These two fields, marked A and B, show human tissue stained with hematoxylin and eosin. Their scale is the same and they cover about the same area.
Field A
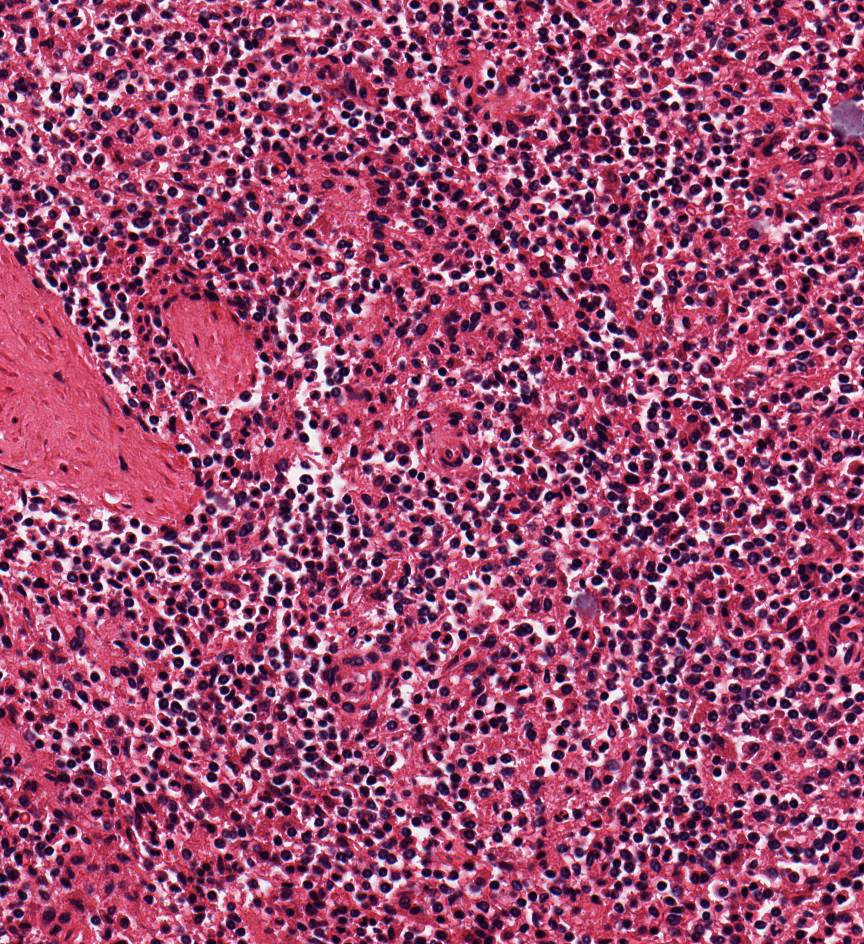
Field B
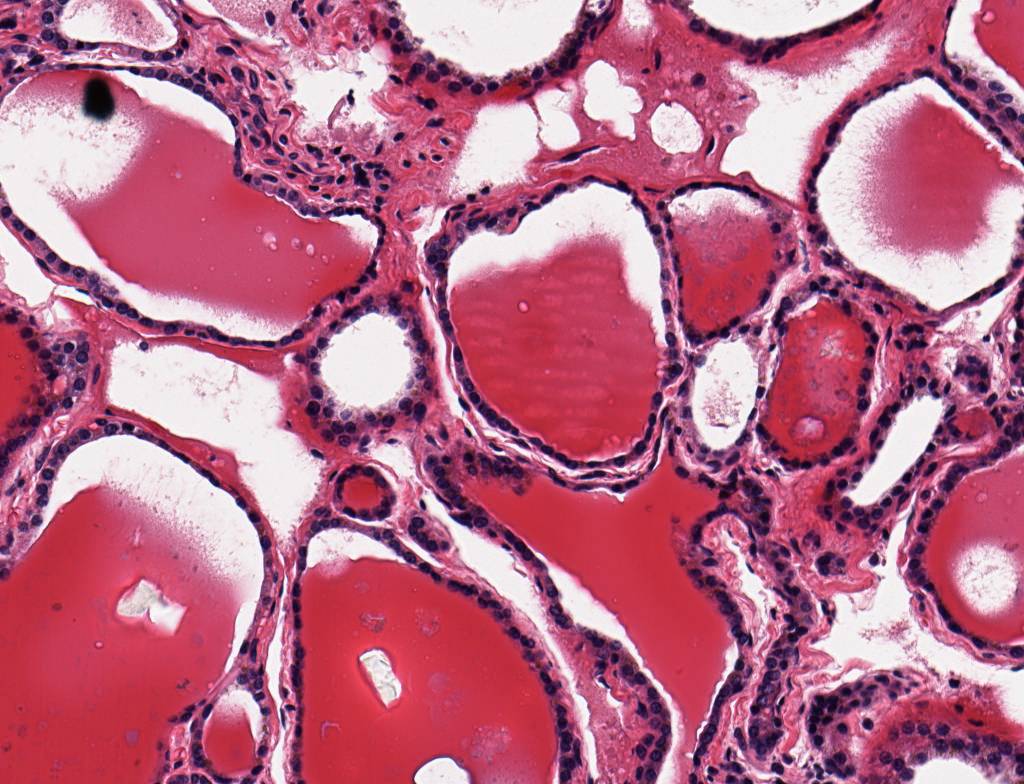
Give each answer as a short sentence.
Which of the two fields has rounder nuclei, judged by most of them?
It is field A whose nuclei are the rounder.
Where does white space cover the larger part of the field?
It is field B in which white space covers the larger part.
